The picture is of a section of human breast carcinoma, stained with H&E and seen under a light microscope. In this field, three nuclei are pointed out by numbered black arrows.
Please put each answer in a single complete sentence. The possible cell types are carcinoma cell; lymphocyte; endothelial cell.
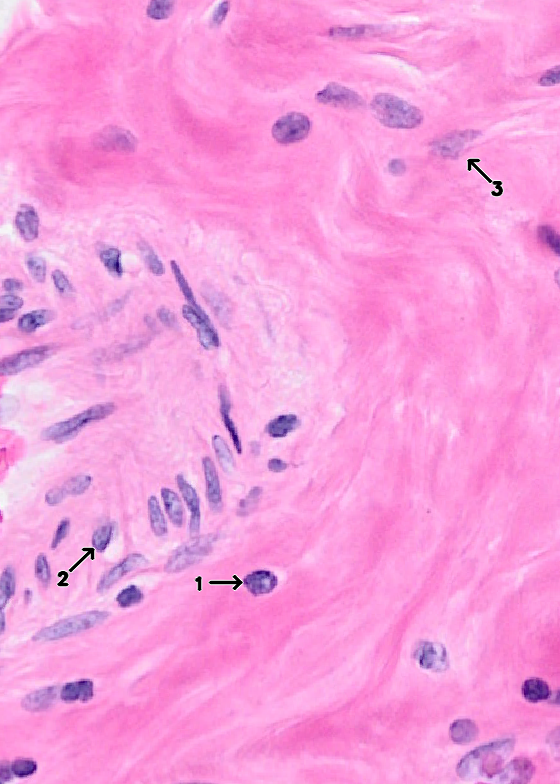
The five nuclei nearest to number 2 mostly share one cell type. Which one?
Around number 2, most of the five nearest nuclei are those of endothelial cells.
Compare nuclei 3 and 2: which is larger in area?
Number 3 is larger; its area is about 1.5 times that of number 2.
